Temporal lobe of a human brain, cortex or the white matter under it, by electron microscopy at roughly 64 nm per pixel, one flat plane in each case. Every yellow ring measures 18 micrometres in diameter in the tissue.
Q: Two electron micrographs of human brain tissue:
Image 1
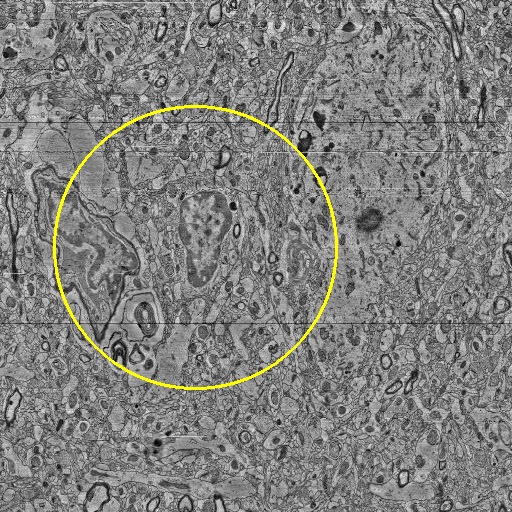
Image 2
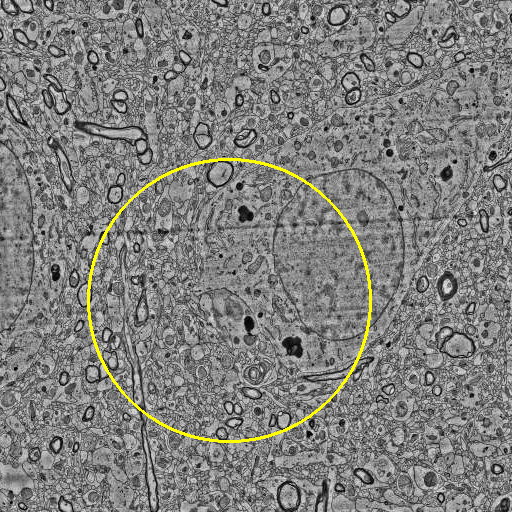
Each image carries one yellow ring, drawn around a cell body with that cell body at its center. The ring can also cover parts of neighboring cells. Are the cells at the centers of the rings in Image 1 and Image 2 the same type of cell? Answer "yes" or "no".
no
